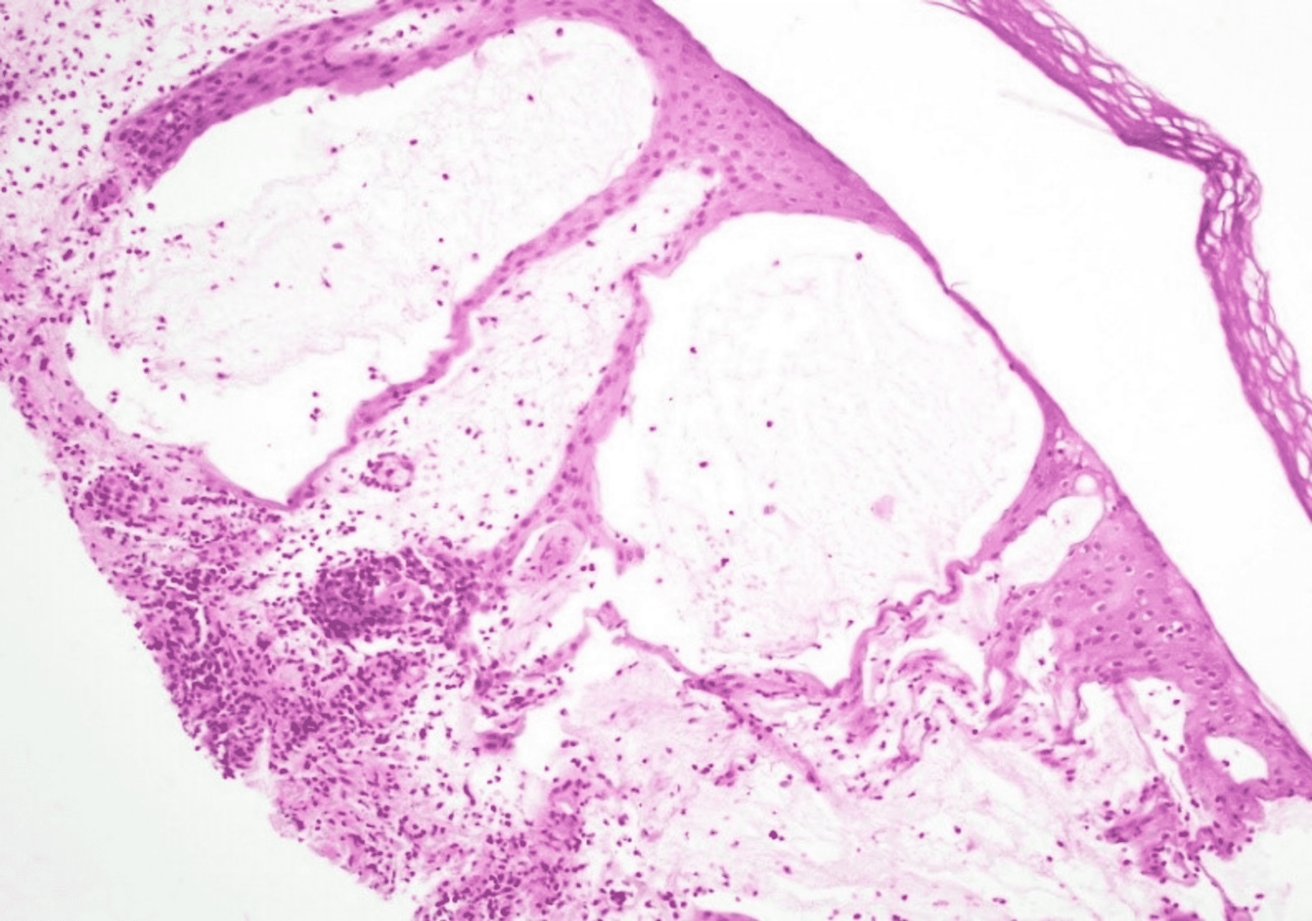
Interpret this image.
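This is a section of skin with a pink-stained epidermis and underlying dermis in which an inflammatory cell infiltrate is seen. The epidermis is split by large, pale, fluid-filled spaces that hold a faint pink flocculent material and scattered cells. Thin strands of epidermis separate these spaces from one another. At the upper right, a detached band of keratin with a basket-weave look floats free of the surface. Below the epidermis, and especially at the lower left, dense clusters of small cells with dark round nuclei crowd the dermis, while the rest of the dermis looks loose and pale.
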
